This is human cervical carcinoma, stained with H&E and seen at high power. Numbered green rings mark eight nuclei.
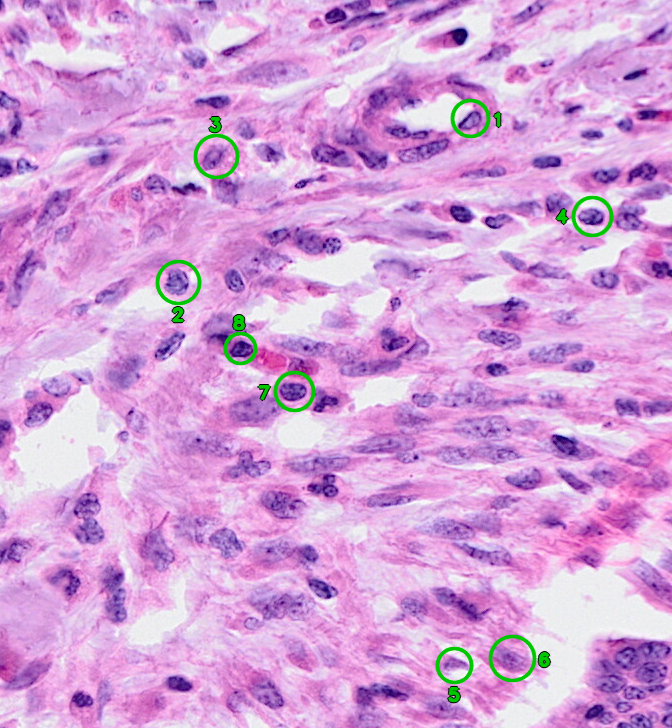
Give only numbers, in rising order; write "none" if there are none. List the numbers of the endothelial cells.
1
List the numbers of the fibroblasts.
5, 6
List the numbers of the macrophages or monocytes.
3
